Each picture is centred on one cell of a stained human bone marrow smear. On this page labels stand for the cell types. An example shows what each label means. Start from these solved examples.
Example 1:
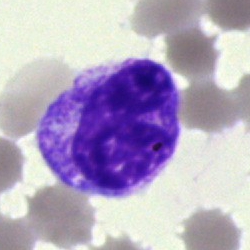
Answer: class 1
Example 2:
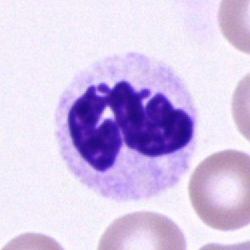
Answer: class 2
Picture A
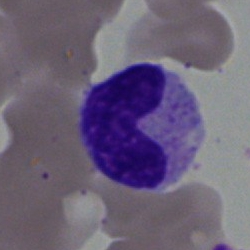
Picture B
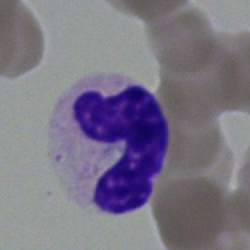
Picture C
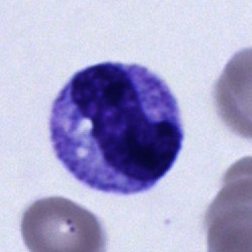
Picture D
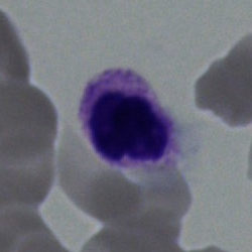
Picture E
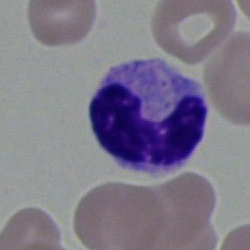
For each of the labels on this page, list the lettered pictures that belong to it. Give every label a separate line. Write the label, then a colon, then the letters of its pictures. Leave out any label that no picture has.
class 1: A, B, C
class 2: D, E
